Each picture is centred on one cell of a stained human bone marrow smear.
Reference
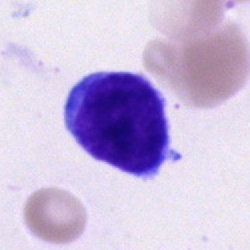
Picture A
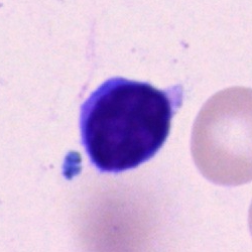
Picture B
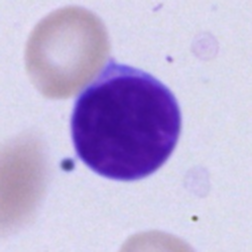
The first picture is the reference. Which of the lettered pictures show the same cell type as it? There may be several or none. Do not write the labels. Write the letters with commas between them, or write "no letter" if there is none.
A, B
